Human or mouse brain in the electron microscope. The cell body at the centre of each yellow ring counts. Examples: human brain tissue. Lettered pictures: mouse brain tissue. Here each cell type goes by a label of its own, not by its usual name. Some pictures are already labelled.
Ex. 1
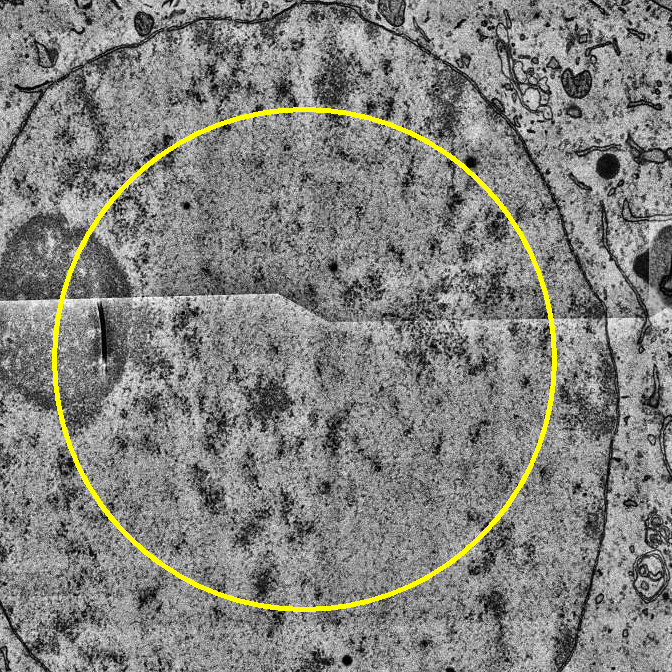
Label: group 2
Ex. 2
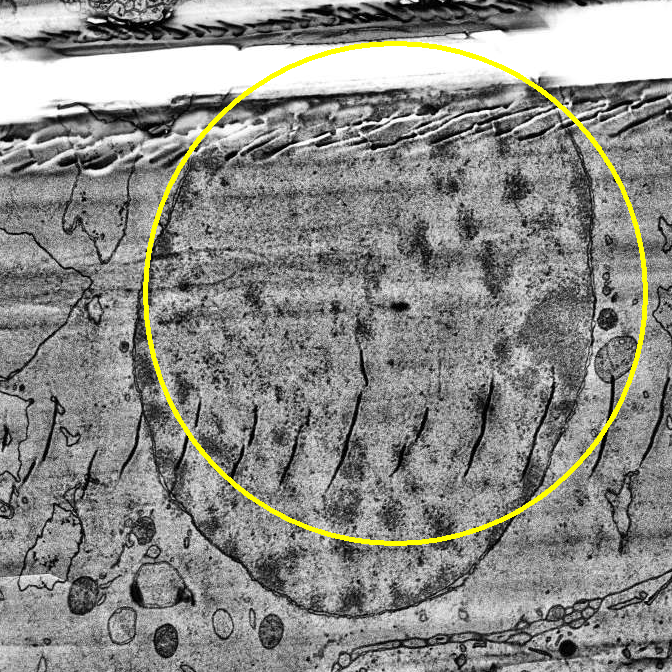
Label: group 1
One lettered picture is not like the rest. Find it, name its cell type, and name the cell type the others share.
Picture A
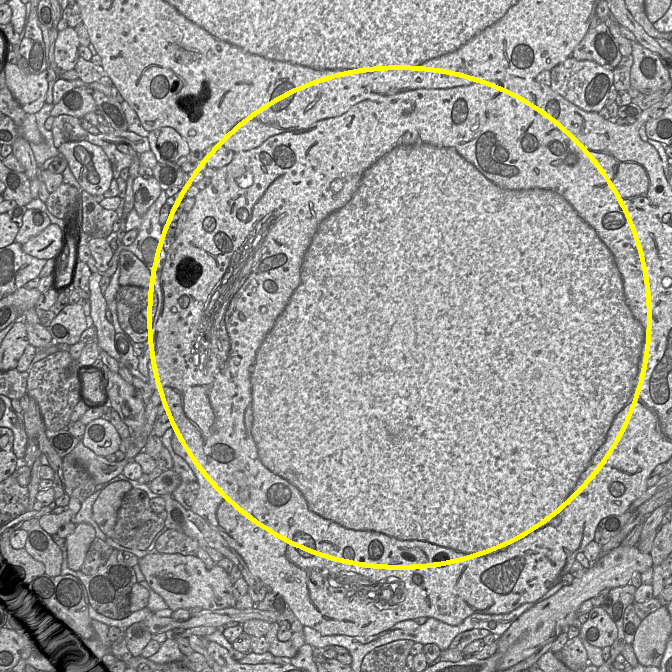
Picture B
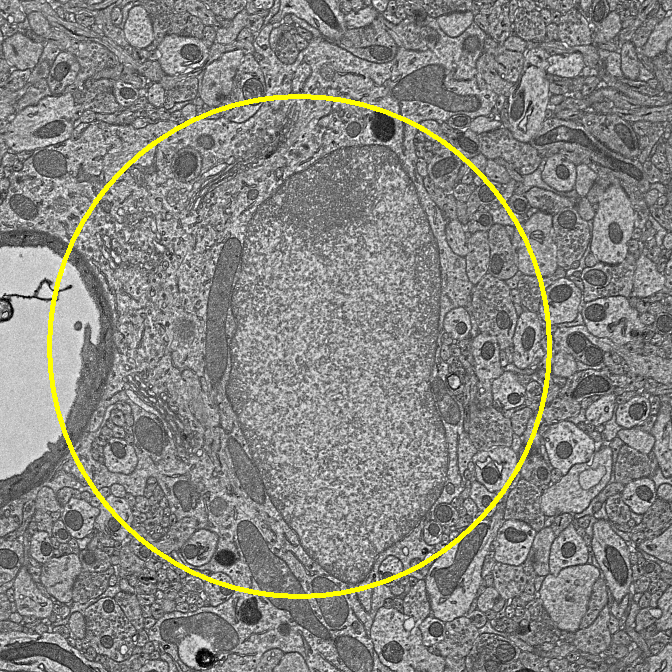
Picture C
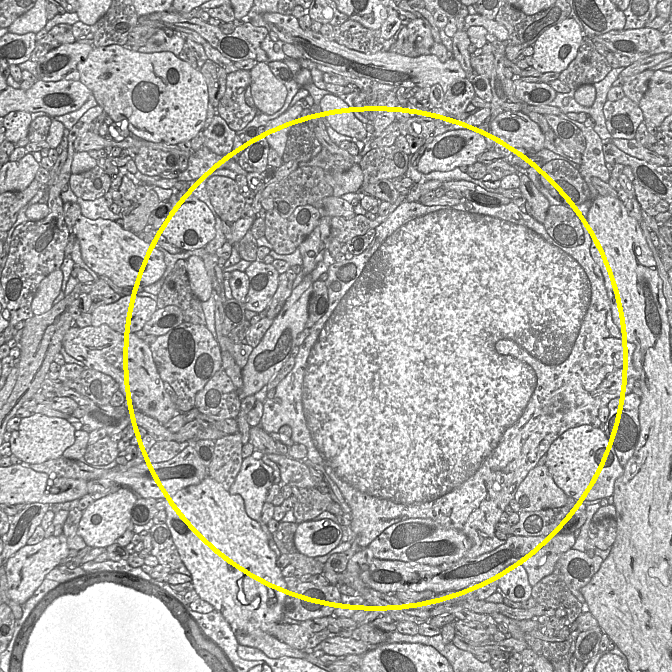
Exception: A, showing group 2. Remaining pictures: group 1.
